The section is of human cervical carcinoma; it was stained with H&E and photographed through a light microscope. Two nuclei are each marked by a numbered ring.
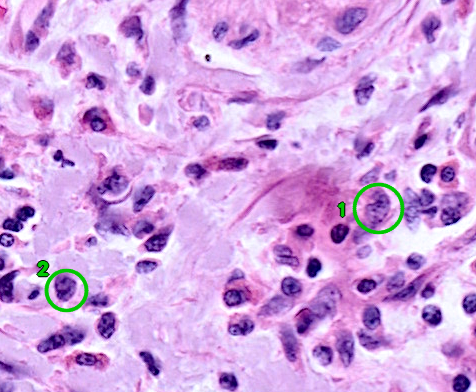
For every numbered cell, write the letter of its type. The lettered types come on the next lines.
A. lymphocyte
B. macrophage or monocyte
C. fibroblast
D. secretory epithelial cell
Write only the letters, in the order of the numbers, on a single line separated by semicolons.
B; A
